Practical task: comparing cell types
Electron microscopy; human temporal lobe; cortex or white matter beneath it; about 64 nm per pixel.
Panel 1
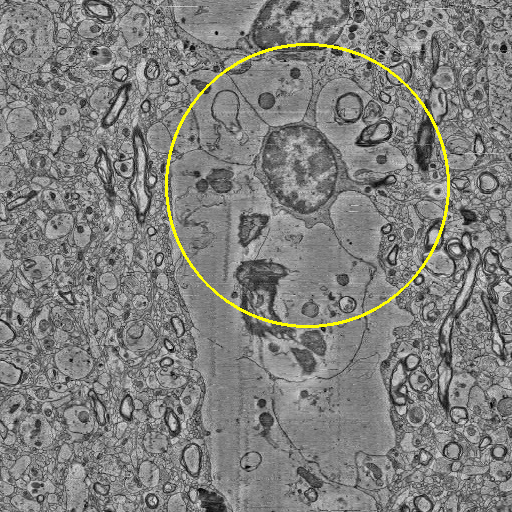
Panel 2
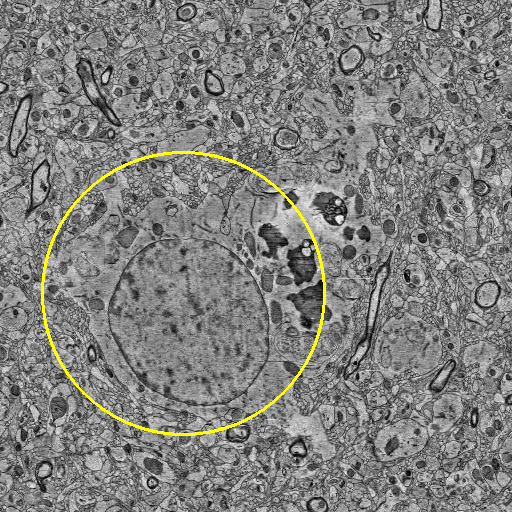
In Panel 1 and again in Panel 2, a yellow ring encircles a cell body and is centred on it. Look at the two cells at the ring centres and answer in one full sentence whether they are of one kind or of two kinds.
The two cells sitting at the ring centres of Panels 1 and 2 are of two kinds.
